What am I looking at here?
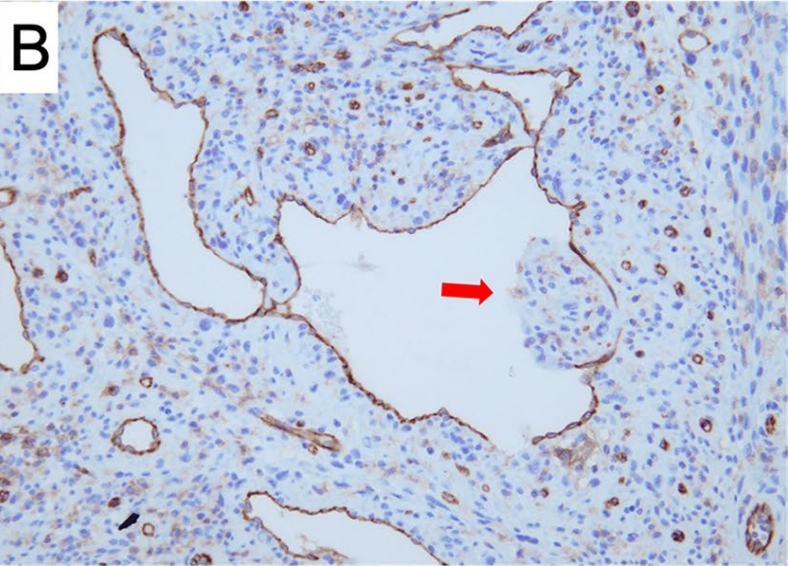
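The brown lining traces the borders of the large open lumens and rims many small round vessels scattered in the surrounding tissue. Blue-stained nuclei of crowded tumor cells fill the tissue between the channels. A rounded cell mass protrudes into the largest lumen, and over its surface the continuous brown lining is missing. The lumens themselves are pale and empty.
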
